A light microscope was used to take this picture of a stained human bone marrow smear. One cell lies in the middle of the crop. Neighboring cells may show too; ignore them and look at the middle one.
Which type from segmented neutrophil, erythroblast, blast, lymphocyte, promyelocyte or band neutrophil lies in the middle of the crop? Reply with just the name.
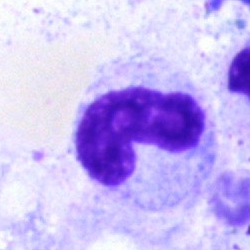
band neutrophil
